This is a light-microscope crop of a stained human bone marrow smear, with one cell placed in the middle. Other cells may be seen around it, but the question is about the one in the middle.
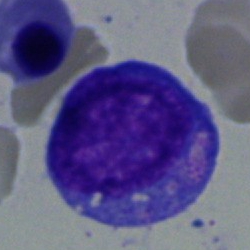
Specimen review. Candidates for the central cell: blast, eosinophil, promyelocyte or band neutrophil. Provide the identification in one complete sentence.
This particular crop is centered on a blast.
